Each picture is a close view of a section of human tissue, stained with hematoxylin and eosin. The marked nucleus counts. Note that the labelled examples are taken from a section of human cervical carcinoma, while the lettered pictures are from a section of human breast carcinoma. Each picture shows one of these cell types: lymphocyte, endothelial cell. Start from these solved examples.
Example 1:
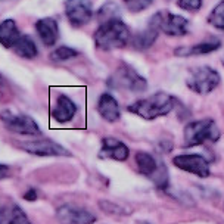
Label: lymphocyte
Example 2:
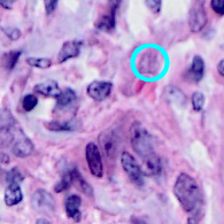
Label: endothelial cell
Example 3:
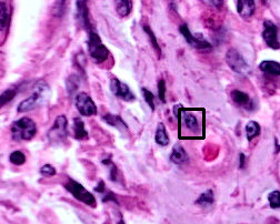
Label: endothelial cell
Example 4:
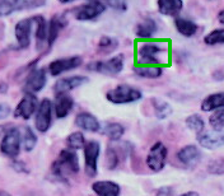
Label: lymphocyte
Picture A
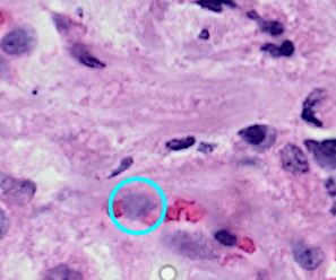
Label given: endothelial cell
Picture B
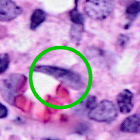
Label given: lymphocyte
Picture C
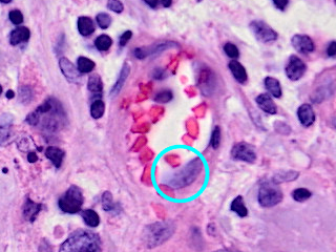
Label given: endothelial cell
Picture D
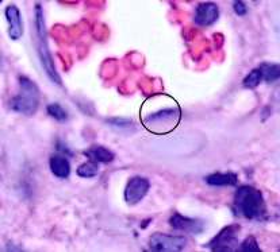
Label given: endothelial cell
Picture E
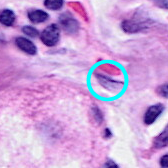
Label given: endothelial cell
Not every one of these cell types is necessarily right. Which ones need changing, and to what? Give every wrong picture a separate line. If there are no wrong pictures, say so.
B is labelled lymphocyte; correct label: endothelial cell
